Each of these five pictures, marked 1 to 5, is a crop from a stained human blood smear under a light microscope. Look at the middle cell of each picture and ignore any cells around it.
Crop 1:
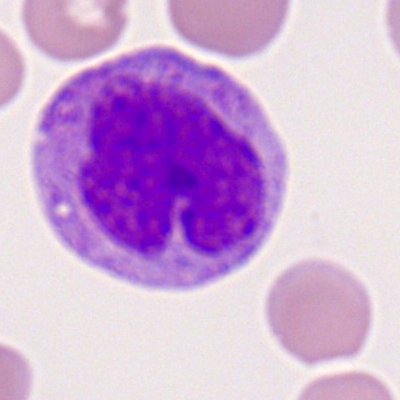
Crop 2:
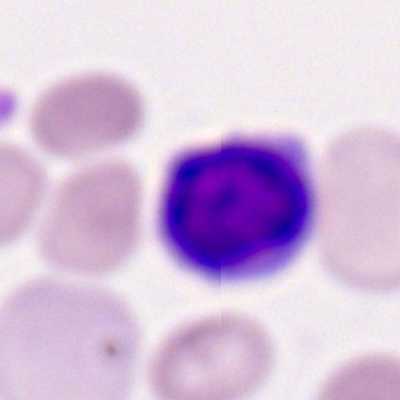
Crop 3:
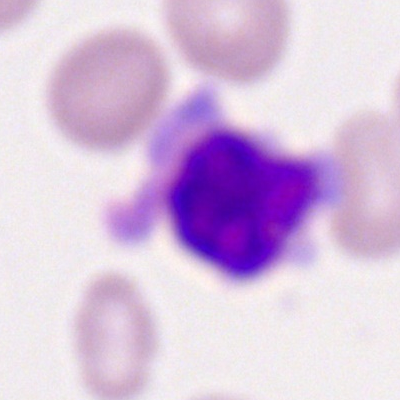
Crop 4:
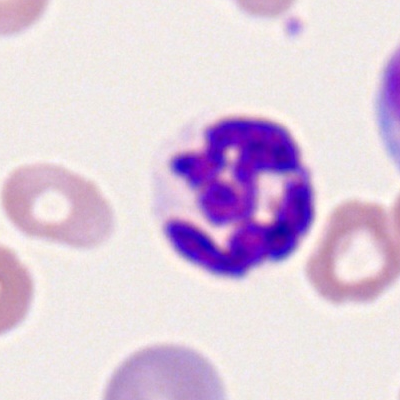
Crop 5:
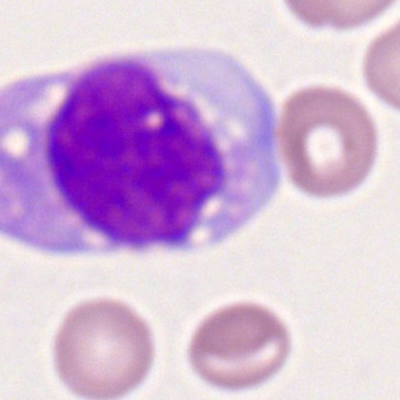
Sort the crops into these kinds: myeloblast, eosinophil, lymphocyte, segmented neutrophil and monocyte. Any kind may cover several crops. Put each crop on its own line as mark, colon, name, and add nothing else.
1: monocyte
2: lymphocyte
3: lymphocyte
4: segmented neutrophil
5: monocyte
